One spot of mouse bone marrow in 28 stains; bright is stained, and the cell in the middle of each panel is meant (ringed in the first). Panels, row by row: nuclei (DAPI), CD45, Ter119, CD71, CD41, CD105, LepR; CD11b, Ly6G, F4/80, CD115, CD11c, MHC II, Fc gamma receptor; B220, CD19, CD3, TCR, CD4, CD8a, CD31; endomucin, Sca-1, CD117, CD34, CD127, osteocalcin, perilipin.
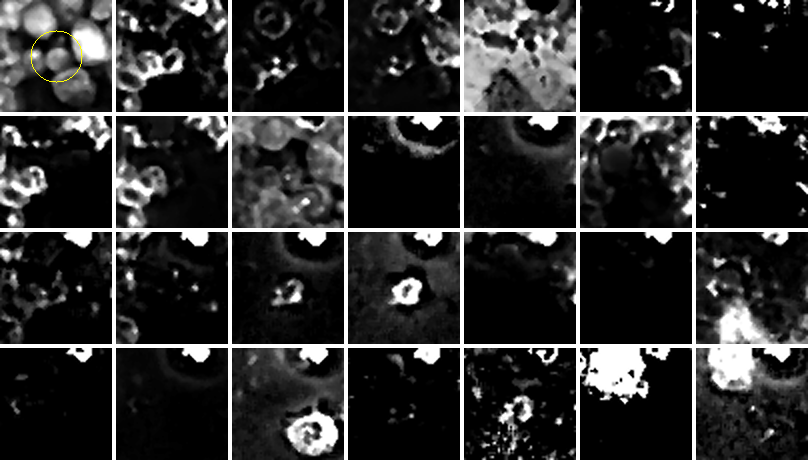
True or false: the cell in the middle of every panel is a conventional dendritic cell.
False; it is a double-negative T cell.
